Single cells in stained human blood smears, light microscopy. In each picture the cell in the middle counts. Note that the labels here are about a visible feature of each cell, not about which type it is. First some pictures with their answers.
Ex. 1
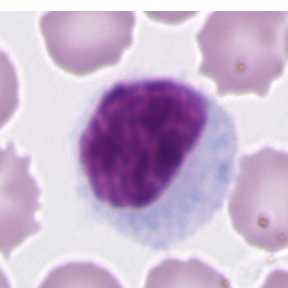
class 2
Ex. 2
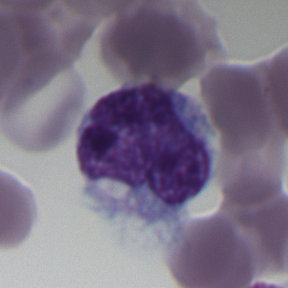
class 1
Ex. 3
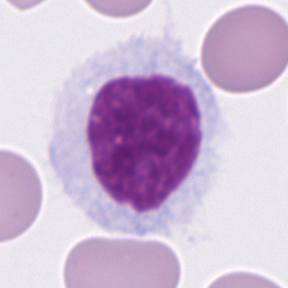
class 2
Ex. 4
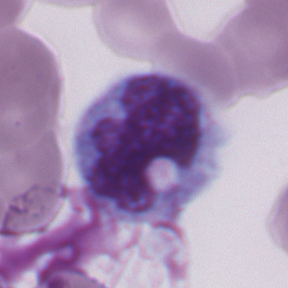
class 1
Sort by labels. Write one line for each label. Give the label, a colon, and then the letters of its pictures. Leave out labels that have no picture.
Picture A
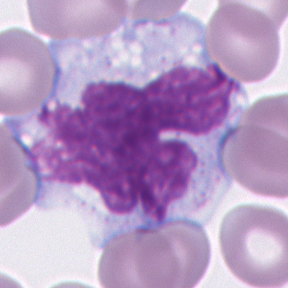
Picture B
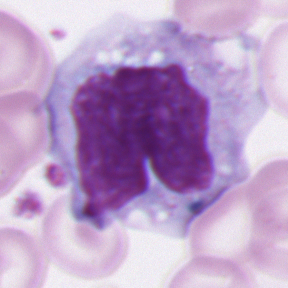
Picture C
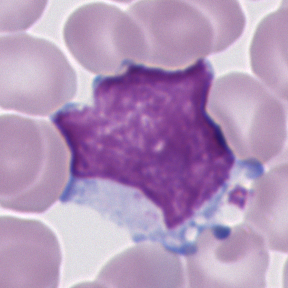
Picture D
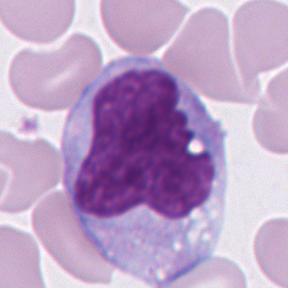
class 2: A, B, D
class 1: C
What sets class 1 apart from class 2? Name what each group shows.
Seen in class 1: scant cytoplasm; seen in class 2: abundant cytoplasm.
